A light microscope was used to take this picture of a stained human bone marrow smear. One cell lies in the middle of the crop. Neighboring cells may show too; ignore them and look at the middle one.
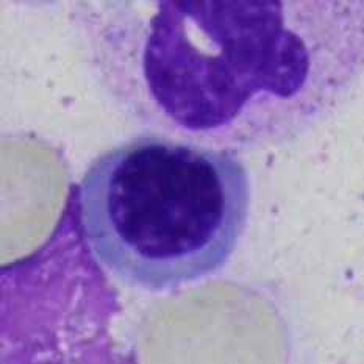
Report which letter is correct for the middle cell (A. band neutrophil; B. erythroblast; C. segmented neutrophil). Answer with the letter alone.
B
